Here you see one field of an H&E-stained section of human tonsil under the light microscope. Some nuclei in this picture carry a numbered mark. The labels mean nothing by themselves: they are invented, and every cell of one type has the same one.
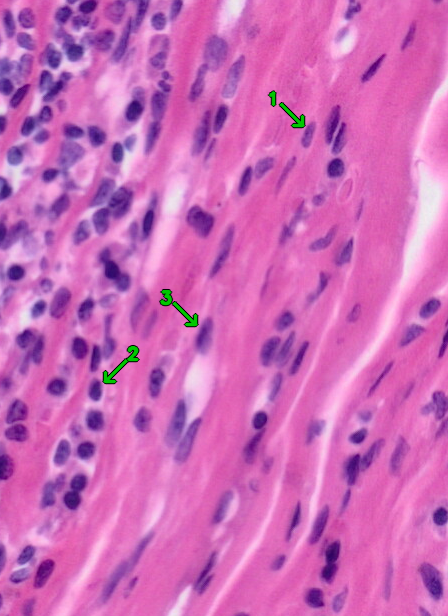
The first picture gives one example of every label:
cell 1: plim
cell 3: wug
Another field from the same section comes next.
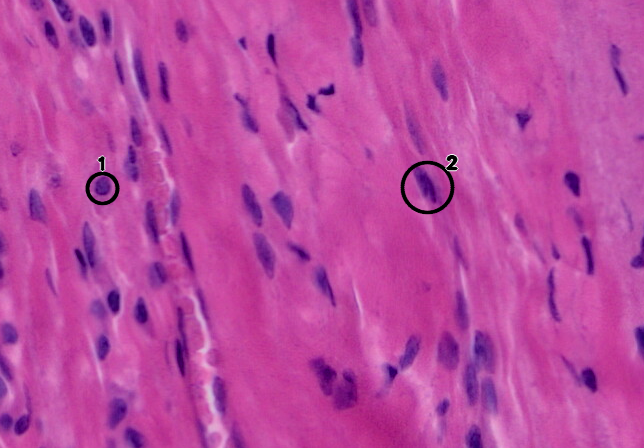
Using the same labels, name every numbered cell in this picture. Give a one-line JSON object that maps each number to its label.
{"1": "plim", "2": "wug"}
